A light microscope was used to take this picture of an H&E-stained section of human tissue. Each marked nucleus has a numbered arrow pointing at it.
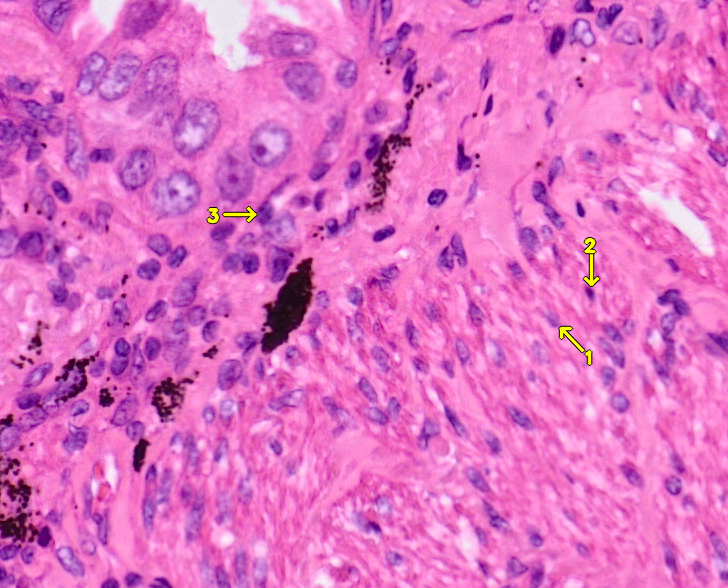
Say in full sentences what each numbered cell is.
Cells 1 and 2 are smooth muscle cells or pericytes. Cell 3 is a lymphocyte.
